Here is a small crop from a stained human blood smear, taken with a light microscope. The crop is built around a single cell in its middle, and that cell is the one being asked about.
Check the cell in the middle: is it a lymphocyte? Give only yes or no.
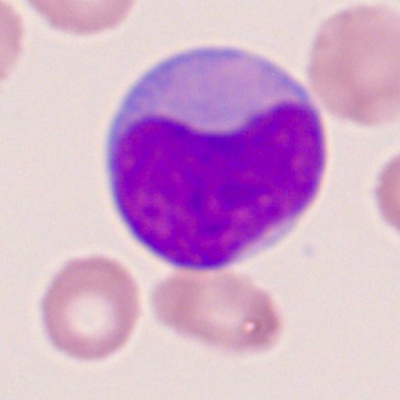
no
